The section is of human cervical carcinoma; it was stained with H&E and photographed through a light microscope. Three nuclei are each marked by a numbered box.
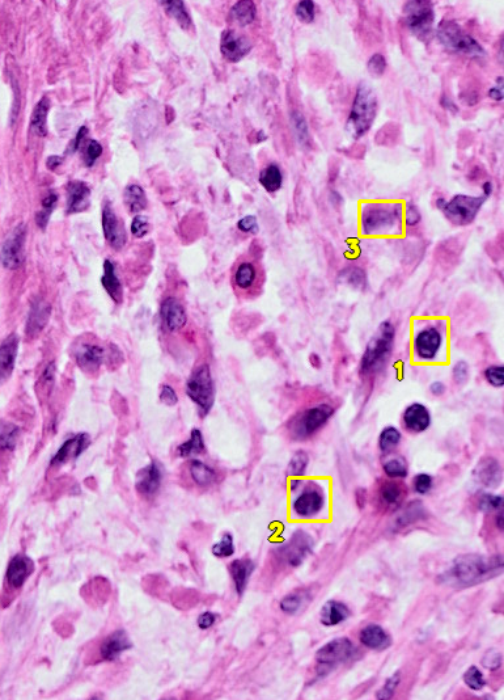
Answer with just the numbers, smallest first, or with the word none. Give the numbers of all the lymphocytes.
1, 2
